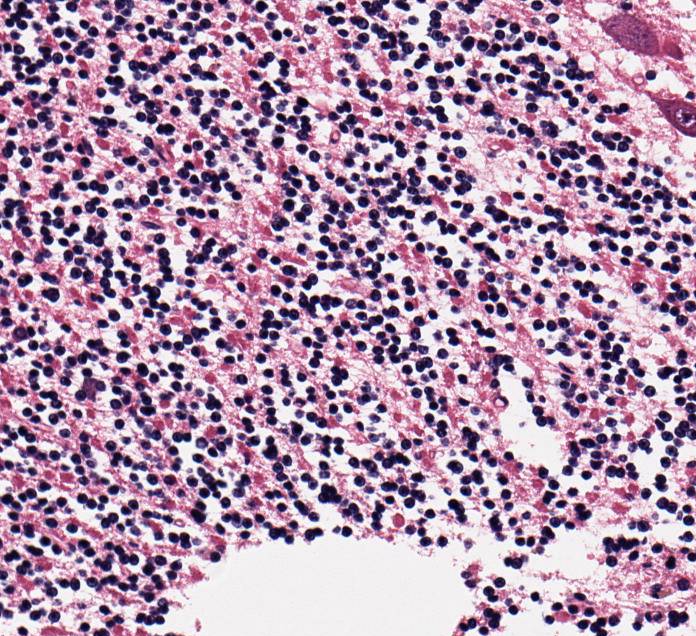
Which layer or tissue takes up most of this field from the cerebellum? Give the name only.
granular layer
